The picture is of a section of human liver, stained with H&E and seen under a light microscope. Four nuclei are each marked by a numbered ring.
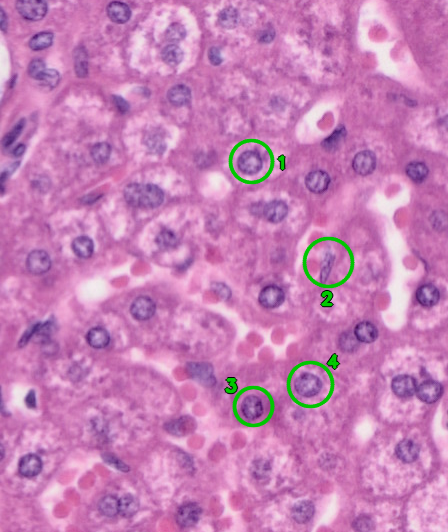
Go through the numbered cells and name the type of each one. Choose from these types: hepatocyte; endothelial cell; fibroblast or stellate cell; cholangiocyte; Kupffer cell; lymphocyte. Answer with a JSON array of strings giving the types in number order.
["hepatocyte", "endothelial cell", "hepatocyte", "hepatocyte"]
